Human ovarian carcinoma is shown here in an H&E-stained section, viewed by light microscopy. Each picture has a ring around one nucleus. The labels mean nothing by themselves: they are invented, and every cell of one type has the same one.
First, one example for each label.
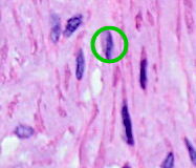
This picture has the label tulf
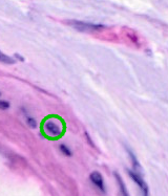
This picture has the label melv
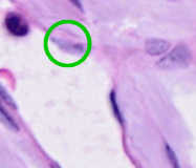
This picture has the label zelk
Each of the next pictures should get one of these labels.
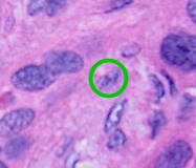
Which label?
tulf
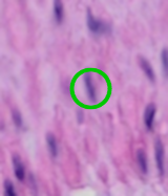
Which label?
melv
